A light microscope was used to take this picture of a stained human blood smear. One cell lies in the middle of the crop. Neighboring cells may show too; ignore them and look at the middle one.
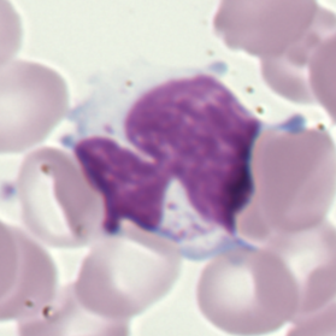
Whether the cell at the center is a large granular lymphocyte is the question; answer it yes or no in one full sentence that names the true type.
Yes, this crop has a large granular lymphocyte at its centre.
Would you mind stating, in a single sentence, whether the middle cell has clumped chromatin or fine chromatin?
The key point is fine chromatin with no coarse clumps.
